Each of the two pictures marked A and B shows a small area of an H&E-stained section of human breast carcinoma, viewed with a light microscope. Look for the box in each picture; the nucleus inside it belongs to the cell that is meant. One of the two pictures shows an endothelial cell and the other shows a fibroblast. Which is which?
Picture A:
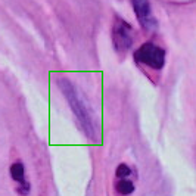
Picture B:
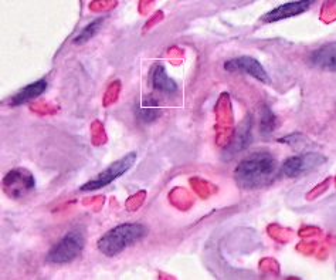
A: fibroblast
B: endothelial cell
